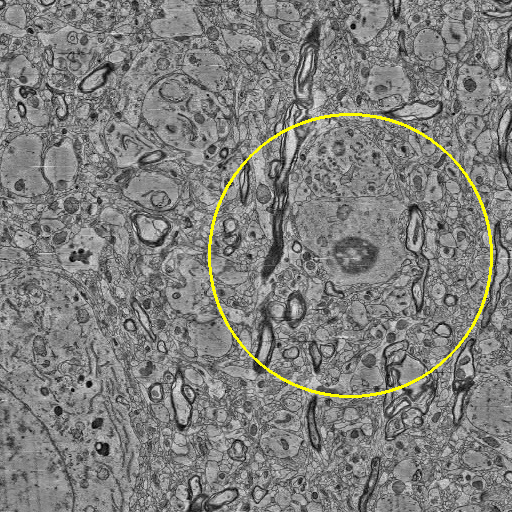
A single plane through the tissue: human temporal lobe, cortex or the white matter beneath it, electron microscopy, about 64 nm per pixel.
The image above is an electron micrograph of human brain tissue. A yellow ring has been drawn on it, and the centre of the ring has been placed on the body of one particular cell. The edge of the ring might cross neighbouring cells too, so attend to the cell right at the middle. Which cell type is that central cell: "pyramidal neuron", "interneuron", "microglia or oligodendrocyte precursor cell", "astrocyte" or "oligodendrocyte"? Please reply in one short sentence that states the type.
The central cell in the ring is an oligodendrocyte.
